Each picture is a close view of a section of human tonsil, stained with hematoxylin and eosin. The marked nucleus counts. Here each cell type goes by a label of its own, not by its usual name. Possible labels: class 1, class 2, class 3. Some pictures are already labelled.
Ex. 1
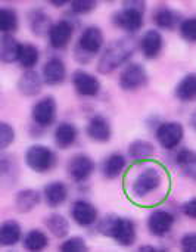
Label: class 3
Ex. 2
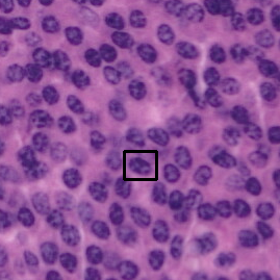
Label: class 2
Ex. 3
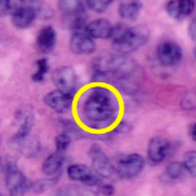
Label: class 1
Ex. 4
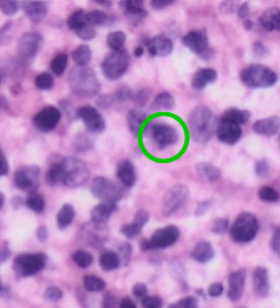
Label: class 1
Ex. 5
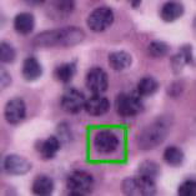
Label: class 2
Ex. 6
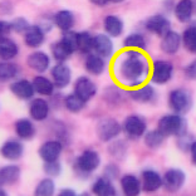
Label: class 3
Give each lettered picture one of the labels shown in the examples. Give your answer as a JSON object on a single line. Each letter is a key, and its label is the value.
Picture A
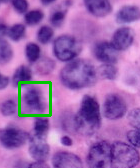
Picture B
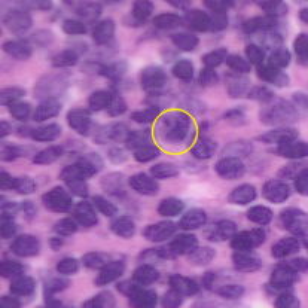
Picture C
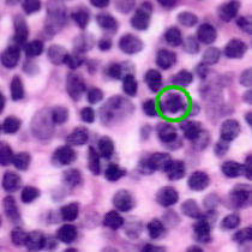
{"A": "class 1", "B": "class 3", "C": "class 3"}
